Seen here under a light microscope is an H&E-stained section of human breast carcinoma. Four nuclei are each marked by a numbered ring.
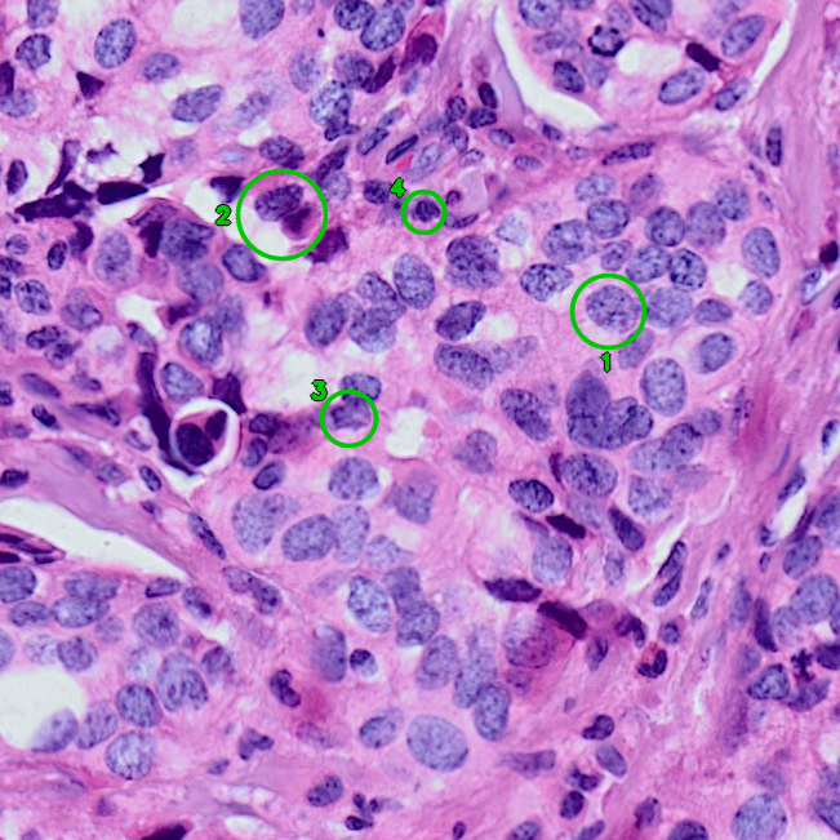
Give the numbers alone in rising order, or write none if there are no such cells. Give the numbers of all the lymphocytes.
4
